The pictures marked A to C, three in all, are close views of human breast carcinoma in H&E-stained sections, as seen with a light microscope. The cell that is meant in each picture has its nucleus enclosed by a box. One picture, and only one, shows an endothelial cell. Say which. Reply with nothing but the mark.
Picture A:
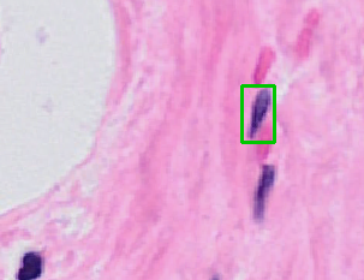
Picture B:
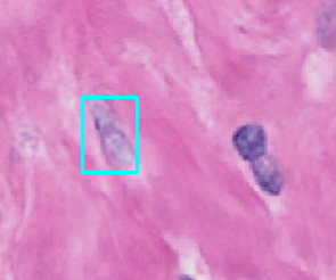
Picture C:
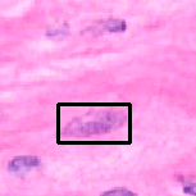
A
